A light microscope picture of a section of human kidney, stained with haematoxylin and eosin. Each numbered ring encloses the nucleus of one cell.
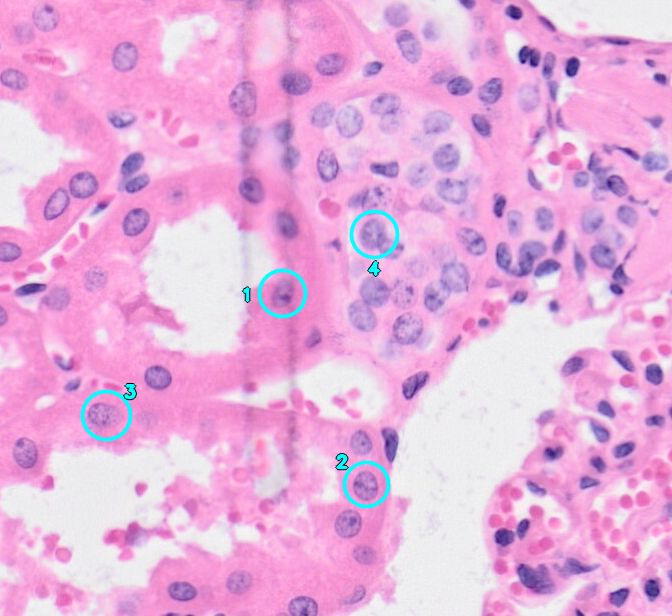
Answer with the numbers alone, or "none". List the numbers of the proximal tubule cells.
1, 2, 3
